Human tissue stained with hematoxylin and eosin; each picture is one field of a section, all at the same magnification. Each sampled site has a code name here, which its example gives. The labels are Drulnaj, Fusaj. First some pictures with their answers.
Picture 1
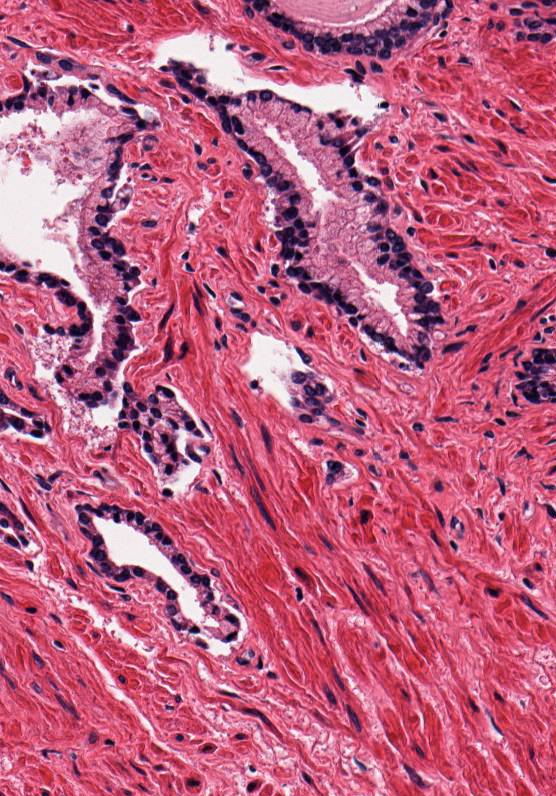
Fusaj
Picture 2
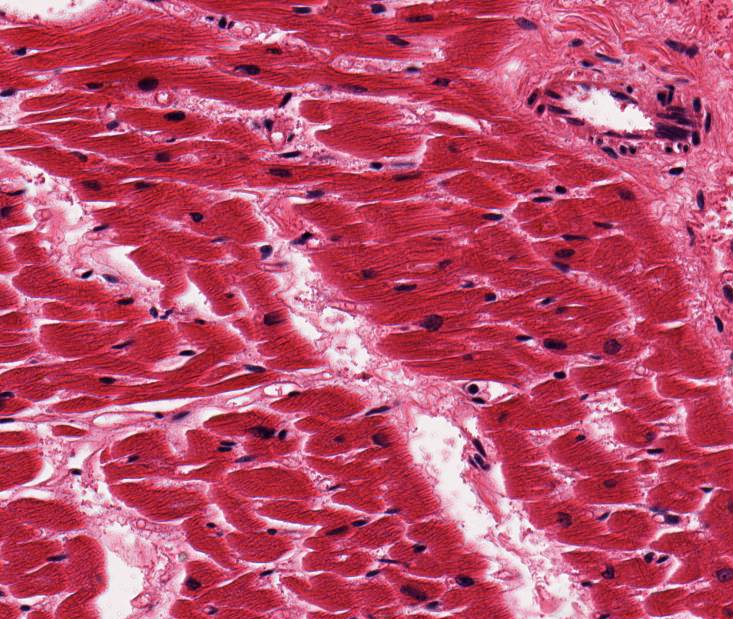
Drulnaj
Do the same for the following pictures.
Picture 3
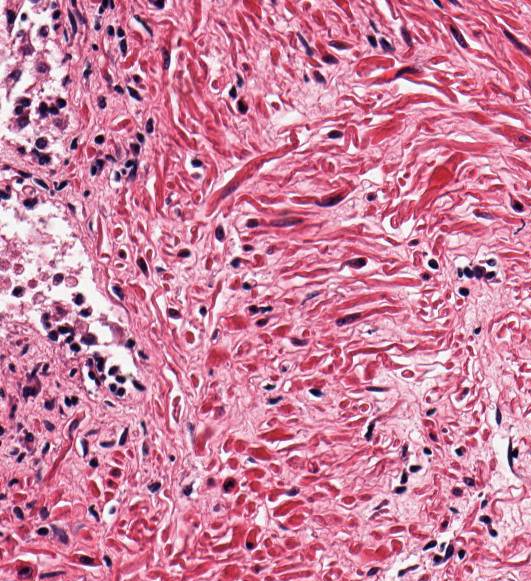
Fusaj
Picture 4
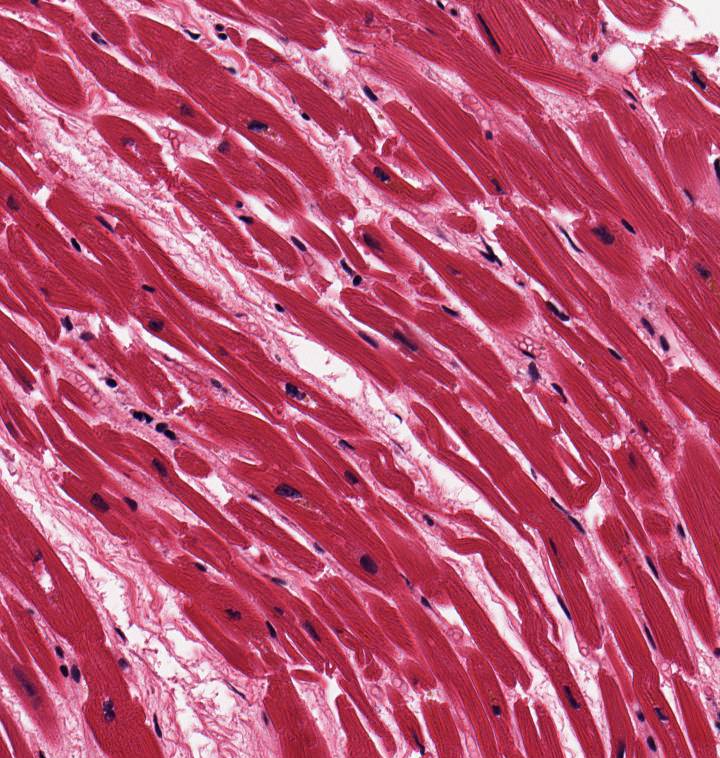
Drulnaj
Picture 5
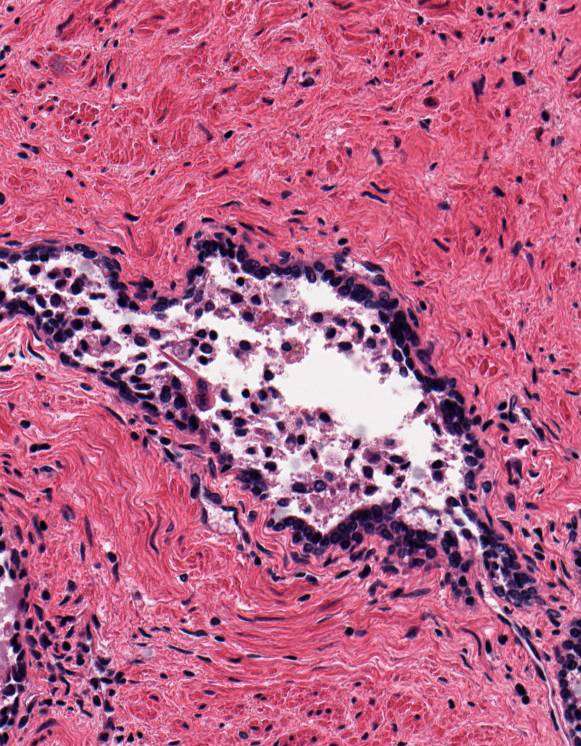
Fusaj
